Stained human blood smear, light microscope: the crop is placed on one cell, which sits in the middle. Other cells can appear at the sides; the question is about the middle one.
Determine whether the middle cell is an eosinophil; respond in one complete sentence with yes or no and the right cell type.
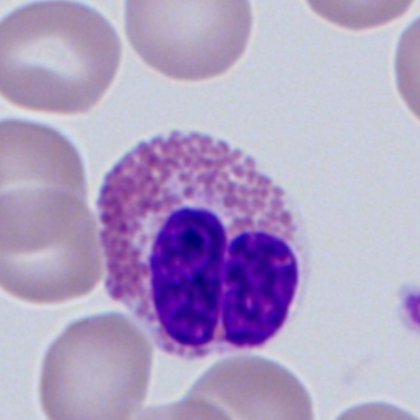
Yes, the middle cell of the field is an eosinophil.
